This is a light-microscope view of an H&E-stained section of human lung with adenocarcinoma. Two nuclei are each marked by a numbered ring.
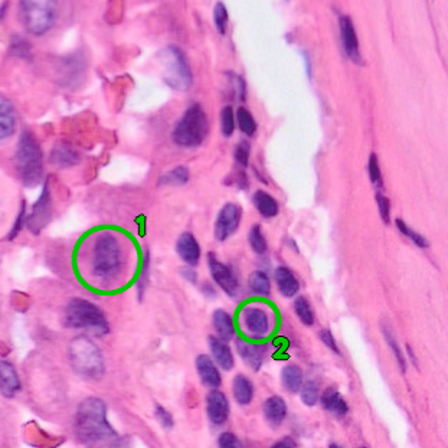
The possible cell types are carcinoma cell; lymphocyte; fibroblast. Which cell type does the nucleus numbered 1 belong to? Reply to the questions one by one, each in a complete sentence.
The numeral 1 marks a carcinoma cell in this section.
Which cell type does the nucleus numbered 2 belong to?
The cell identified by the number 2 is a lymphocyte.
